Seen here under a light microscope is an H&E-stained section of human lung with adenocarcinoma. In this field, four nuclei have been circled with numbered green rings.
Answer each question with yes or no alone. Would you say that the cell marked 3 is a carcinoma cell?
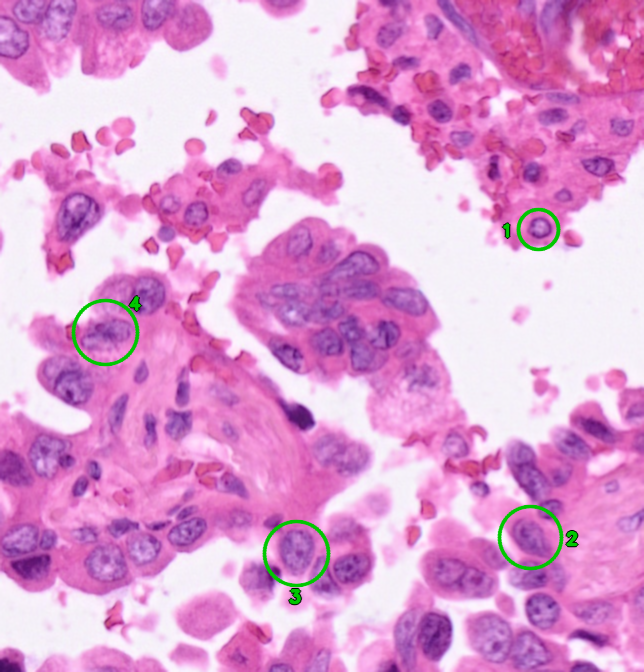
yes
